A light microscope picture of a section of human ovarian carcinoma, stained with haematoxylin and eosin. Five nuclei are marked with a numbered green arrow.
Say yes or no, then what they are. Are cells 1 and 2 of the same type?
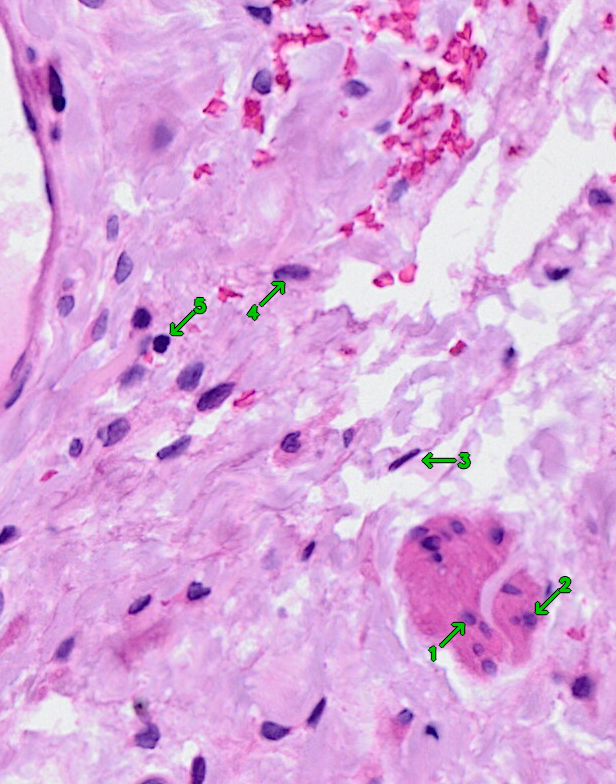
Yes, of the numbered cells, 1 and 2 are both smooth muscle cells.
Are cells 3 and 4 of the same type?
Yes, the cell labelled 3 and the cell labelled 4 are both fibroblasts.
